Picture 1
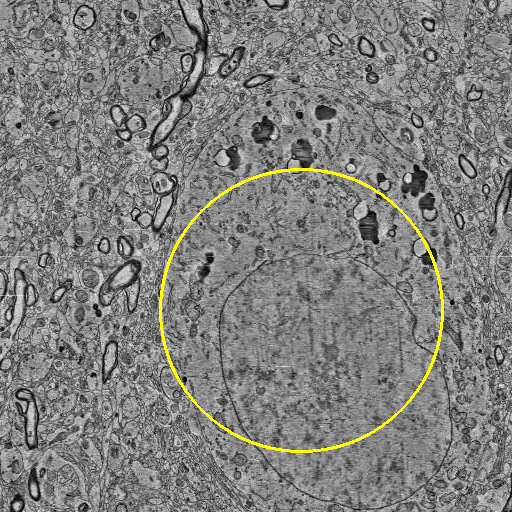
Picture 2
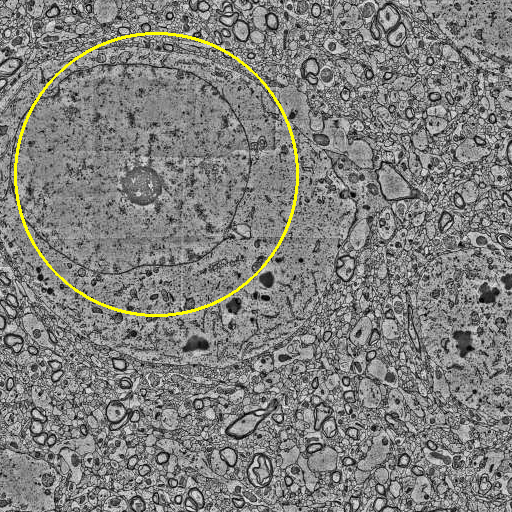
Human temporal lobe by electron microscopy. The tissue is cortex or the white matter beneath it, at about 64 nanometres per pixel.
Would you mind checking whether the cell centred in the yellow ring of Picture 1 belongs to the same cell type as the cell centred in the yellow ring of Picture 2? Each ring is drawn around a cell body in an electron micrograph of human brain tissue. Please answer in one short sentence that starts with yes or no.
Yes, both cells are of the same type.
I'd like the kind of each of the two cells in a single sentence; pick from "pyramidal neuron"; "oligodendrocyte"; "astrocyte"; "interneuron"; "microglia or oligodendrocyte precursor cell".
Each of the two cells is a pyramidal neuron.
